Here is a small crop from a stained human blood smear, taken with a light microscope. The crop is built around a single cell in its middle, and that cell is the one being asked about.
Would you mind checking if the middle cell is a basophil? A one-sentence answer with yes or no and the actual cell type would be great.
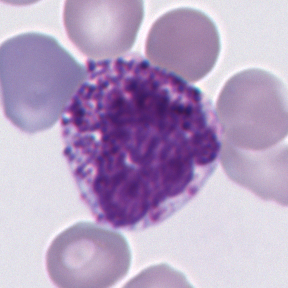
Yes, the middle cell here is a basophil.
